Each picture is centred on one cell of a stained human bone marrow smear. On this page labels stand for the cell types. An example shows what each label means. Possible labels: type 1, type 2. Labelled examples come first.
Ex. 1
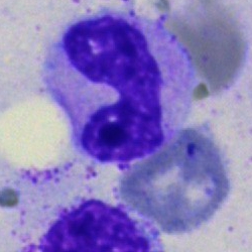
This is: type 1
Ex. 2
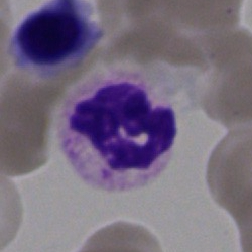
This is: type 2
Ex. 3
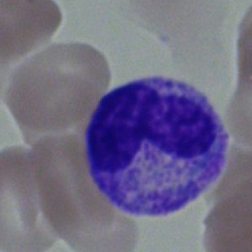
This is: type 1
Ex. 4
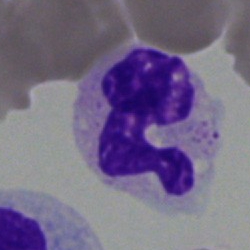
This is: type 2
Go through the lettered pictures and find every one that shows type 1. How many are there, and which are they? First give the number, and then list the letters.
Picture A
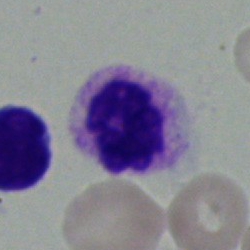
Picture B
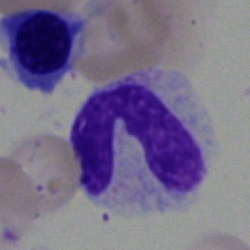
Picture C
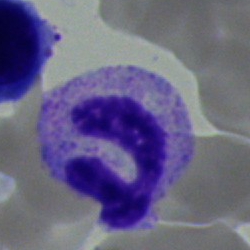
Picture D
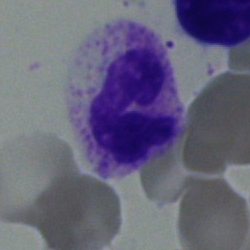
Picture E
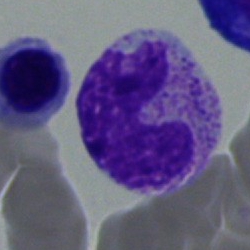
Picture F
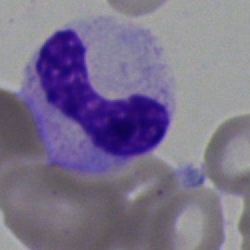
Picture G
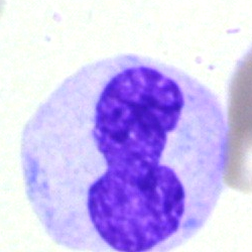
Count: 5 (B, D, E, F, G)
